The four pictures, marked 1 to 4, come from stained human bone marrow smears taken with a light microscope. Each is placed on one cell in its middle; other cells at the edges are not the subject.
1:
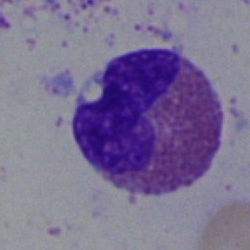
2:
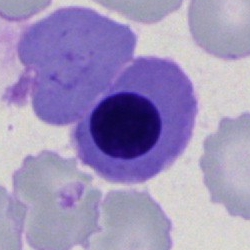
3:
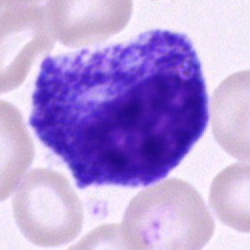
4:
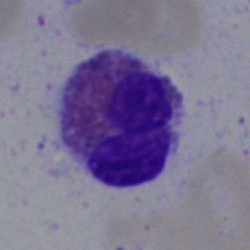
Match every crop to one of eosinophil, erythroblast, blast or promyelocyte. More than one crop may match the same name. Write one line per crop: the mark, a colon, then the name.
1: eosinophil
2: erythroblast
3: promyelocyte
4: eosinophil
